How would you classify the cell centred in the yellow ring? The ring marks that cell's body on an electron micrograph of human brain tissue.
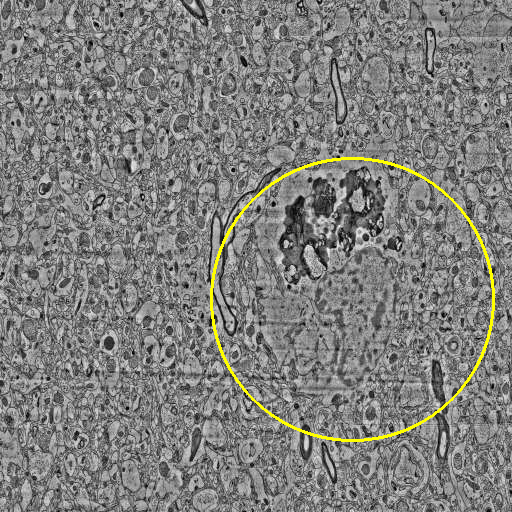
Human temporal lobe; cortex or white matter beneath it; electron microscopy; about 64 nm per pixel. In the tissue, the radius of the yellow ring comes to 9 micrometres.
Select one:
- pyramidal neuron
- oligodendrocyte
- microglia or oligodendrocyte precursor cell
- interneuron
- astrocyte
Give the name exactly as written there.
astrocyte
